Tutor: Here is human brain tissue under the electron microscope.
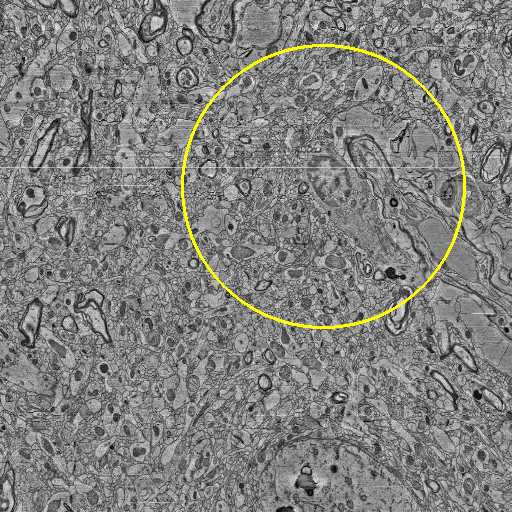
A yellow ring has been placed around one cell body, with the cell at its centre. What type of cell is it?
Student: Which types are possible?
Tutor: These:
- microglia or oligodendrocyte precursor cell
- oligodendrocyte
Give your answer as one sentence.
What the ring picks out here is an oligodendrocyte.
